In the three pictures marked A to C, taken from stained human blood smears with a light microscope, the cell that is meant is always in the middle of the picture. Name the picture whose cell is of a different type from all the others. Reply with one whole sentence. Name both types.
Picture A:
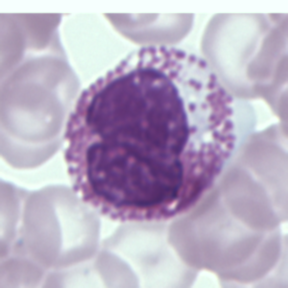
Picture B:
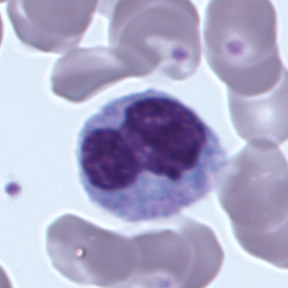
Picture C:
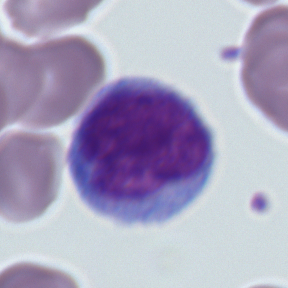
The different one is picture A; it shows an eosinophil, whereas all the others show monocytes.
